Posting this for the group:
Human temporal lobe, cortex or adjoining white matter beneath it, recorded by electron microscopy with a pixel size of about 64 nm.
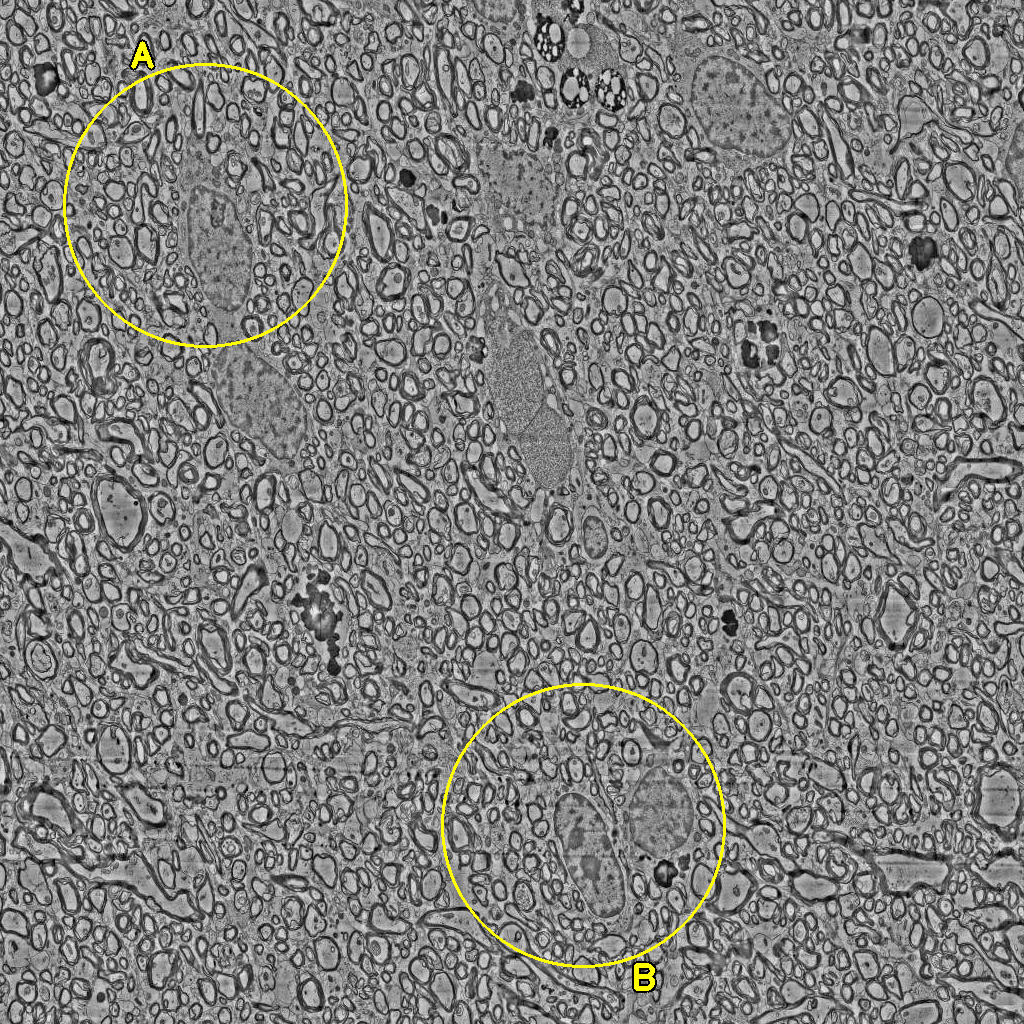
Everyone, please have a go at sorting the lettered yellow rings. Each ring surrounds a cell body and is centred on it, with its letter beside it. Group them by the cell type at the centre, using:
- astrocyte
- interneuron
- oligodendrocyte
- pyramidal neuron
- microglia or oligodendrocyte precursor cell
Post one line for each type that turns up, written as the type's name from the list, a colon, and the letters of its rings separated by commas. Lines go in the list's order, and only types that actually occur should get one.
oligodendrocyte: A
microglia or oligodendrocyte precursor cell: B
